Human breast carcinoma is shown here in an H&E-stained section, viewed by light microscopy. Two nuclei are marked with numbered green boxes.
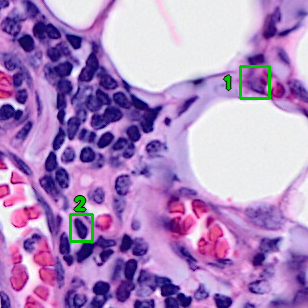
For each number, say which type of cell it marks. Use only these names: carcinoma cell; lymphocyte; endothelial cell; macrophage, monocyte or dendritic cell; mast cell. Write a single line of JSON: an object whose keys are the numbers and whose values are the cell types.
{"1": "endothelial cell", "2": "lymphocyte"}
